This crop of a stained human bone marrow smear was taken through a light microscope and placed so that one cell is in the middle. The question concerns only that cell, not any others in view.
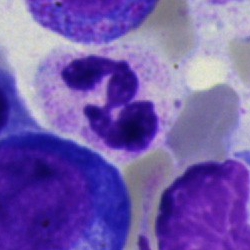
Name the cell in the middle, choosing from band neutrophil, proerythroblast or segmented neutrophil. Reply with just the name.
segmented neutrophil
